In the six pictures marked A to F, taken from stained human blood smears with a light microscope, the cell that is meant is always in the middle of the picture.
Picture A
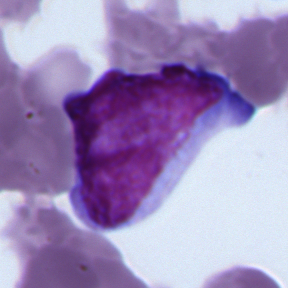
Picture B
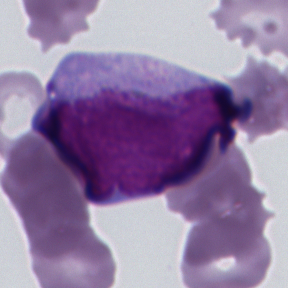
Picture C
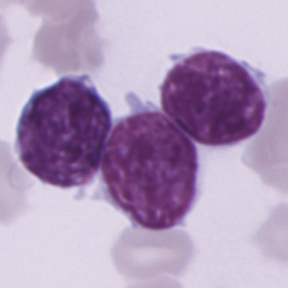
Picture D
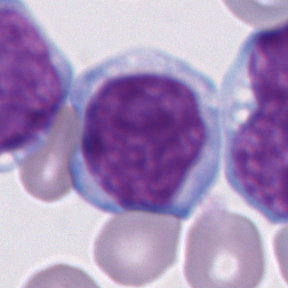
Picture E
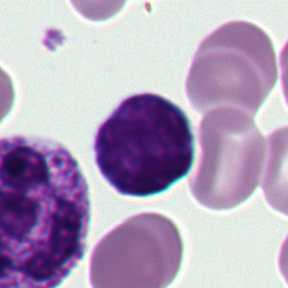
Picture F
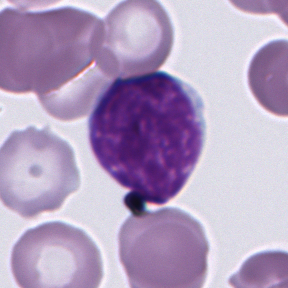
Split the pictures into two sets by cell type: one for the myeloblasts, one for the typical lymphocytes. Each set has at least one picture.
A: myeloblast
B: myeloblast
C: myeloblast
D: myeloblast
E: typical lymphocyte
F: typical lymphocyte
